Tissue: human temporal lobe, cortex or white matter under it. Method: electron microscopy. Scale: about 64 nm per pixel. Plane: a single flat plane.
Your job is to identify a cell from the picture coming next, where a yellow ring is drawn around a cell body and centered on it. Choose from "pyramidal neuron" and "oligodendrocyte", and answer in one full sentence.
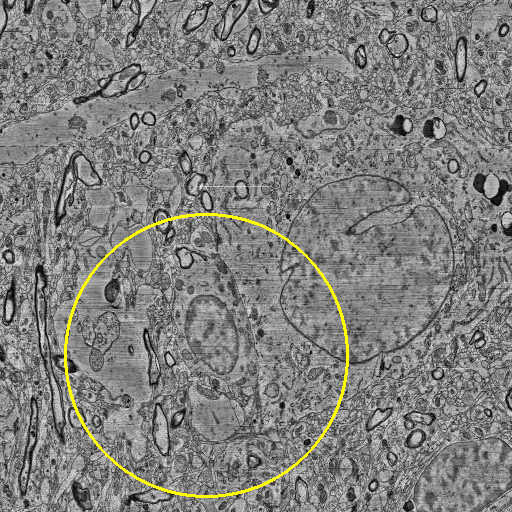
Centered in the yellow ring of the picture is the body of an oligodendrocyte.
